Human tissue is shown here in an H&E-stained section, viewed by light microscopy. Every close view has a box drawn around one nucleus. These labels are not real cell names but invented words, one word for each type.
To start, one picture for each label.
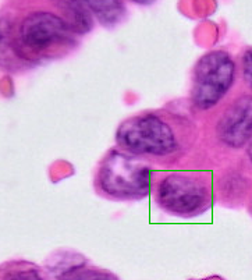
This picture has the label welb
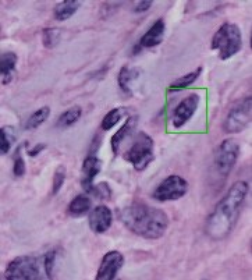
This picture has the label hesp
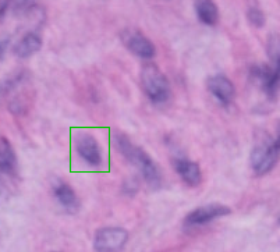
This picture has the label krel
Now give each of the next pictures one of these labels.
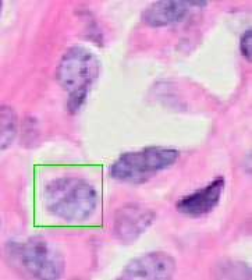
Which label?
welb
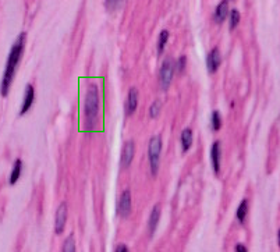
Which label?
krel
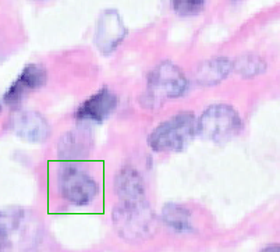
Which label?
welb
